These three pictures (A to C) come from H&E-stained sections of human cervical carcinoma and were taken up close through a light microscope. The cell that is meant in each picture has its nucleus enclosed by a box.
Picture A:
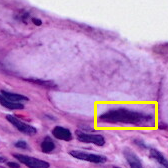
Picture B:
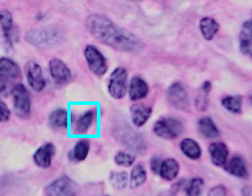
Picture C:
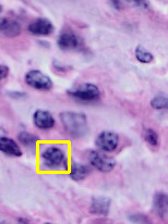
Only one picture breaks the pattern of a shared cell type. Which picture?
A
